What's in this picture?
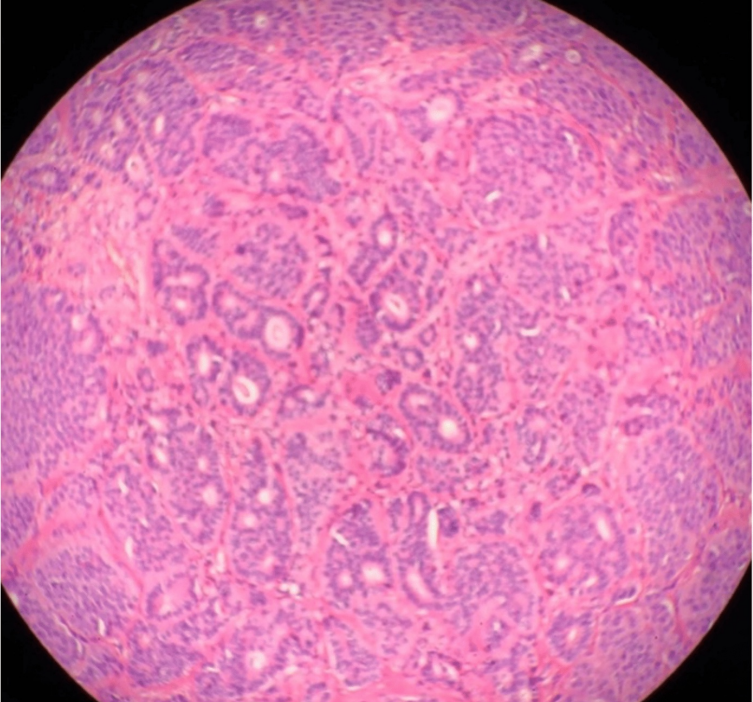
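Tumor cells of a well-differentiated neuroendocrine tumor lie in closely packed nests and cords separated by thin pink fibrous septa. The cells have round, fairly uniform purple nuclei and a moderate rim of pink cytoplasm, and some form small rosette- or gland-like rings around tiny lumens. No areas of cell death are seen.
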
